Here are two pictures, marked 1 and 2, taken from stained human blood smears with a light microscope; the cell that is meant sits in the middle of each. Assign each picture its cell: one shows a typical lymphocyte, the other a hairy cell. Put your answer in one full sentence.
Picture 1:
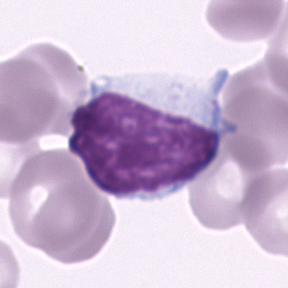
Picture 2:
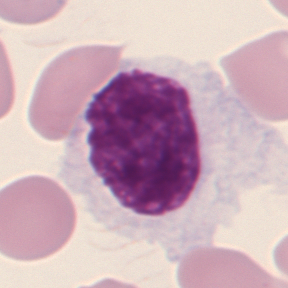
In picture 1 the cell is a typical lymphocyte; in picture 2, a hairy cell.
